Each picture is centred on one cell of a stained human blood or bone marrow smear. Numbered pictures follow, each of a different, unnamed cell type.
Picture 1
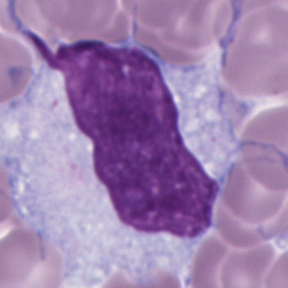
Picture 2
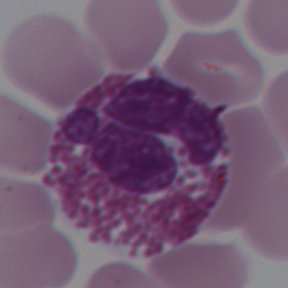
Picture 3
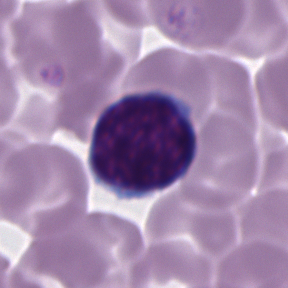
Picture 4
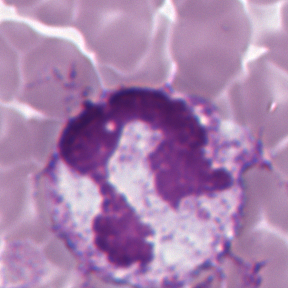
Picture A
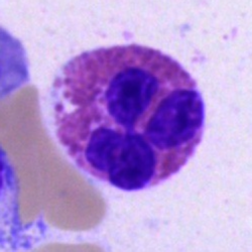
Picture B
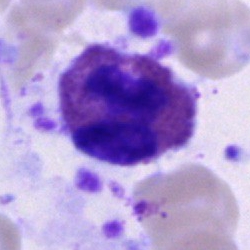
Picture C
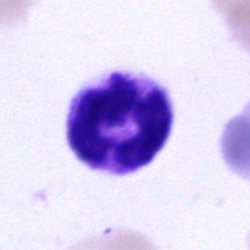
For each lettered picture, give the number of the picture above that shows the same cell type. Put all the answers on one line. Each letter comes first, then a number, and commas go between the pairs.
A 2, B 2, C 4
